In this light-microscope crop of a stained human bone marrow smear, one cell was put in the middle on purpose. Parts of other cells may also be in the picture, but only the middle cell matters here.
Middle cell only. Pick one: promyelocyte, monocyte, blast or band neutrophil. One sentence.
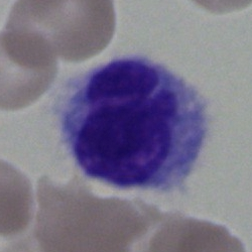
The cell under consideration, at the middle of the crop, is a monocyte.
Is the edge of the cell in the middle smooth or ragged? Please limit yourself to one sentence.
Projections or ragged segments give this cell an irregular rather than smooth border.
